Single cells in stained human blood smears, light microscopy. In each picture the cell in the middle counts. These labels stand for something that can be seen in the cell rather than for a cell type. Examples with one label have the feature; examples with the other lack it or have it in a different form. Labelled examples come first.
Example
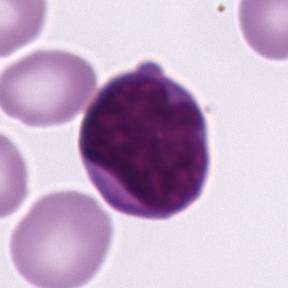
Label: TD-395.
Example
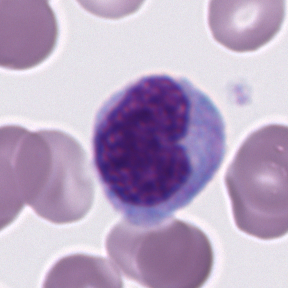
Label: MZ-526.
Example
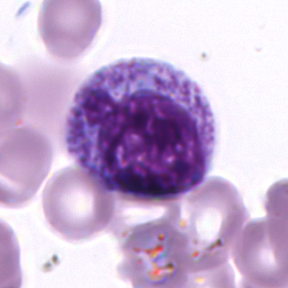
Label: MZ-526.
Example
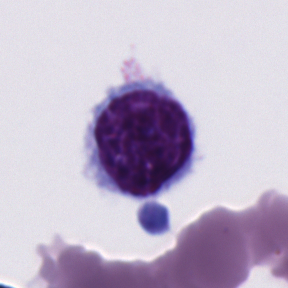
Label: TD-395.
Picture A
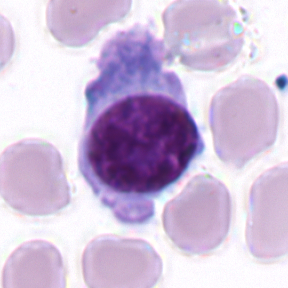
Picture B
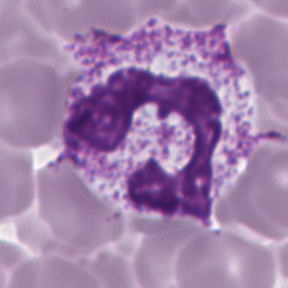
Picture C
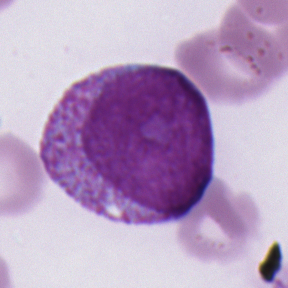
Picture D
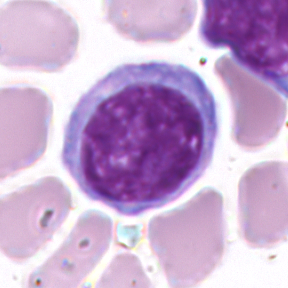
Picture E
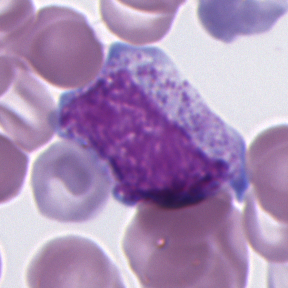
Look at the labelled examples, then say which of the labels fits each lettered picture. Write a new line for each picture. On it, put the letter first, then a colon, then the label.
A: TD-395.
B: TD-395.
C: MZ-526.
D: MZ-526.
E: TD-395.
